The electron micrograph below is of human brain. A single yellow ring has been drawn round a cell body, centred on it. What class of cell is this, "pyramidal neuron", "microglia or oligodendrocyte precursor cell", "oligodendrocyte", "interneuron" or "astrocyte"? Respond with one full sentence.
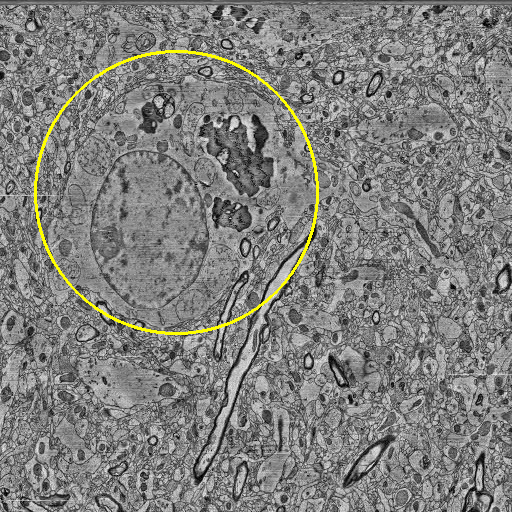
In the micrograph, the cell centred inside the yellow ring is an astrocyte.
